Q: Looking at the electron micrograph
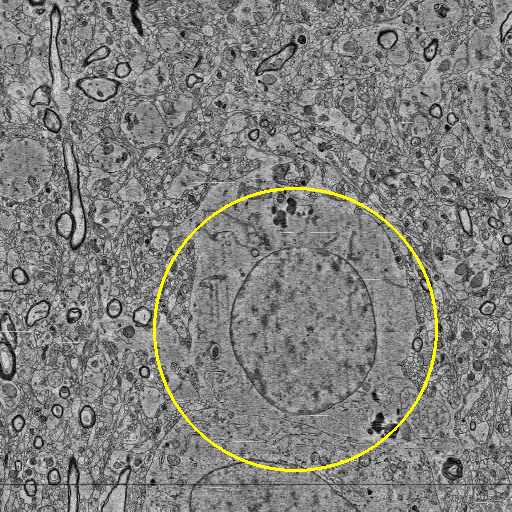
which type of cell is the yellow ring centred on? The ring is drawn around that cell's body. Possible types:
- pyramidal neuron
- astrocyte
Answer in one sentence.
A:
The yellow ring is centred on an astrocyte.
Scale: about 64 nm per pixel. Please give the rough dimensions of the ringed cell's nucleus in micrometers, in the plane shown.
In this plane the nucleus measures roughly 11 by 9 micrometres.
